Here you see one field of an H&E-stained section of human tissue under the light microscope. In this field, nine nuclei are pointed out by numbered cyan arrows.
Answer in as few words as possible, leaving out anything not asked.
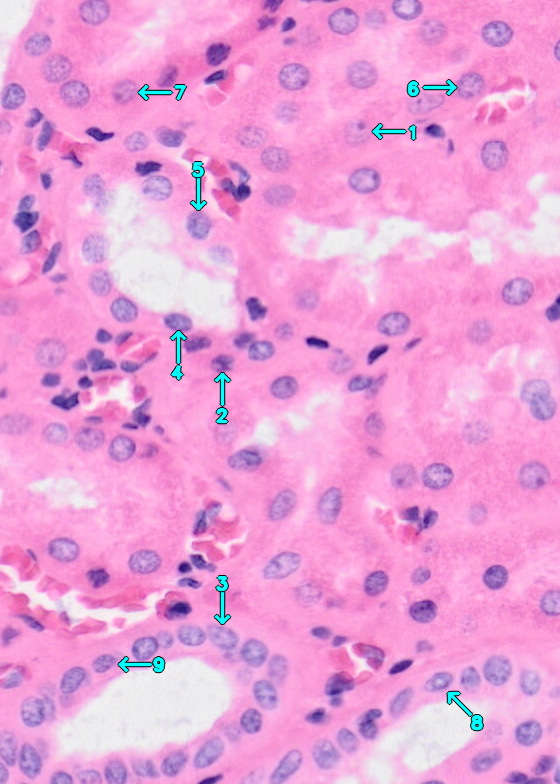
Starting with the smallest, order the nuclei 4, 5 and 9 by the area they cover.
9, 4, 5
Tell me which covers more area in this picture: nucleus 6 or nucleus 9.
6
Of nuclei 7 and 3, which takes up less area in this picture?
7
